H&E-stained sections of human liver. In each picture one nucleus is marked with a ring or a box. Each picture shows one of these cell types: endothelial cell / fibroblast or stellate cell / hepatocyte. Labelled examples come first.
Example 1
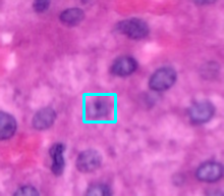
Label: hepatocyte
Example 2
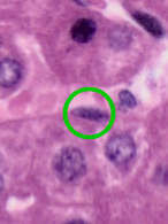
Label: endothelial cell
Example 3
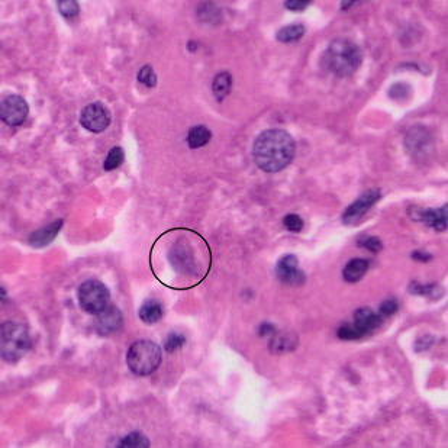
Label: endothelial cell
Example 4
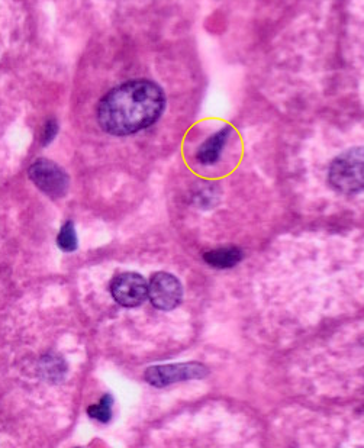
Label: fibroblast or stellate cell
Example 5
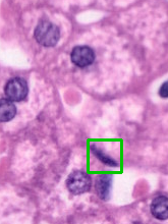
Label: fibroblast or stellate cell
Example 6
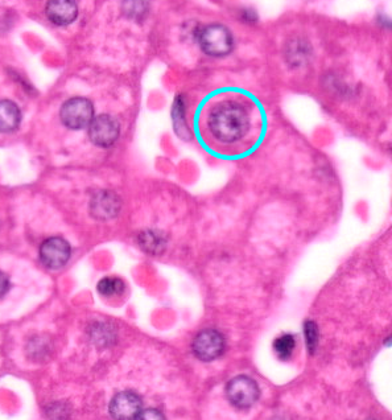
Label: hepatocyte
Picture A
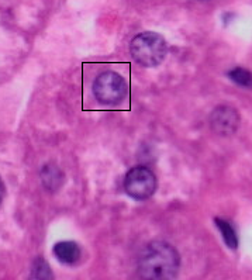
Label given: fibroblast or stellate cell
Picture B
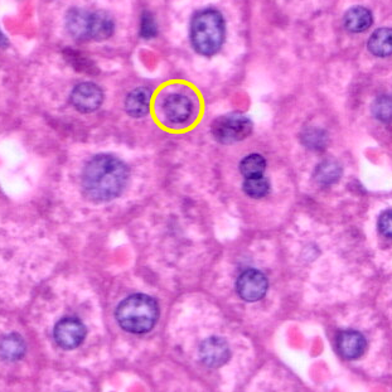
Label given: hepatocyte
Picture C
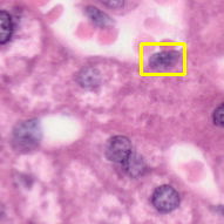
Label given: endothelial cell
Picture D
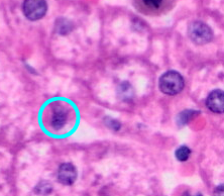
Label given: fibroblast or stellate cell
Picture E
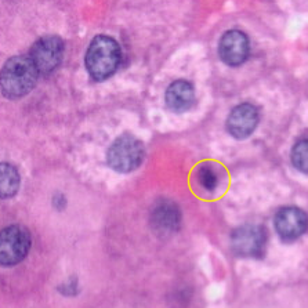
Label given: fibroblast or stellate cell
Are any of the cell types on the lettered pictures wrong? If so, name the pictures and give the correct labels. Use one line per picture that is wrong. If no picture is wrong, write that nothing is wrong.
A: change fibroblast or stellate cell to hepatocyte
